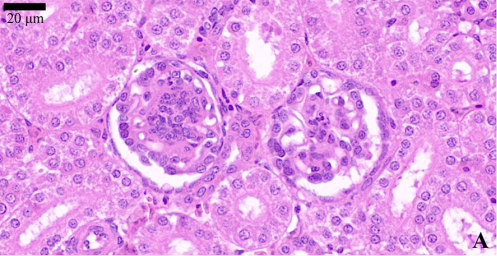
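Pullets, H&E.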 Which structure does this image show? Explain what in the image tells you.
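Two round tufts of densely nucleated capillary loops sit in the centre. Each tuft is enclosed by a thin capsule with a clear space around it. Tubules lined by cuboidal epithelium surround the tufts.
Glomeruli.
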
